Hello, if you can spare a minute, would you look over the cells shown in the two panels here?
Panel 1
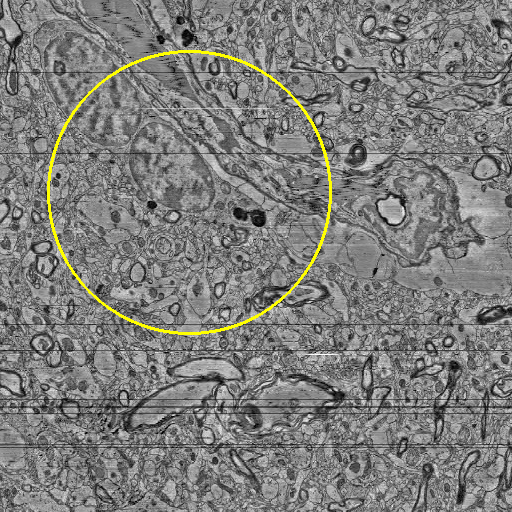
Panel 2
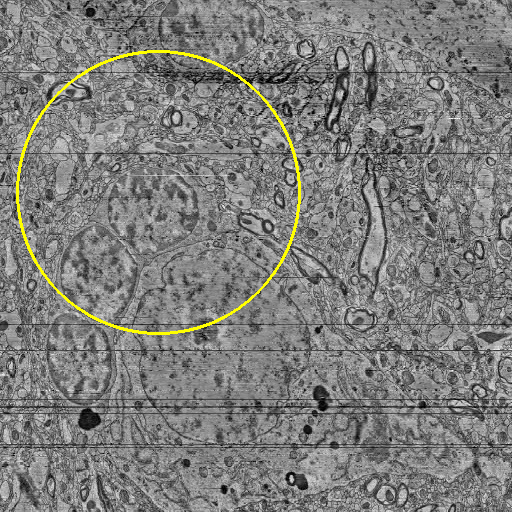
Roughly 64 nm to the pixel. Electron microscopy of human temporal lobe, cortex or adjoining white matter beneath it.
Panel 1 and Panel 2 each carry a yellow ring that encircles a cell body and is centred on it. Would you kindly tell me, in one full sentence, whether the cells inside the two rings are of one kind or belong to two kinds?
The cells at the centres of the rings in Panel 1 and Panel 2 are of one kind.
